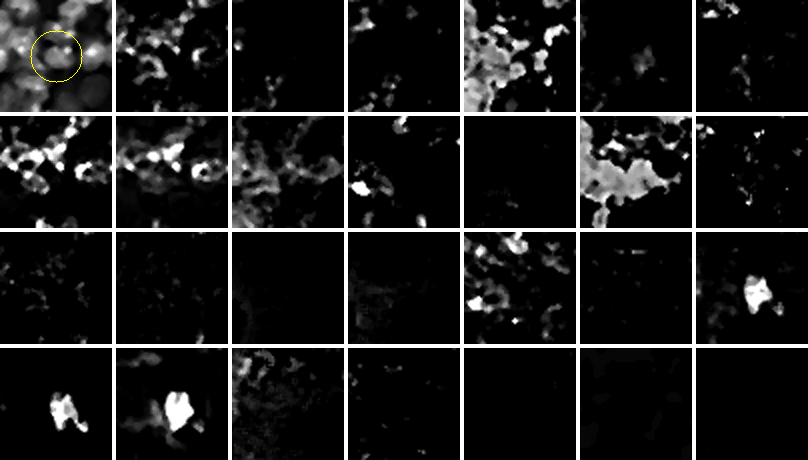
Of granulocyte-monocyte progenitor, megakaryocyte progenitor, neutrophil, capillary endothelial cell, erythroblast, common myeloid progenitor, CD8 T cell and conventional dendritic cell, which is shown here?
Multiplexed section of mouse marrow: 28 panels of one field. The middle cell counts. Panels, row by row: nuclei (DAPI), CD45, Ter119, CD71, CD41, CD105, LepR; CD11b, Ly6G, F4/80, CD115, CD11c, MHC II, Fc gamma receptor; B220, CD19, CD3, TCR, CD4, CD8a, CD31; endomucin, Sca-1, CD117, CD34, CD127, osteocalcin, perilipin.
capillary endothelial cell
